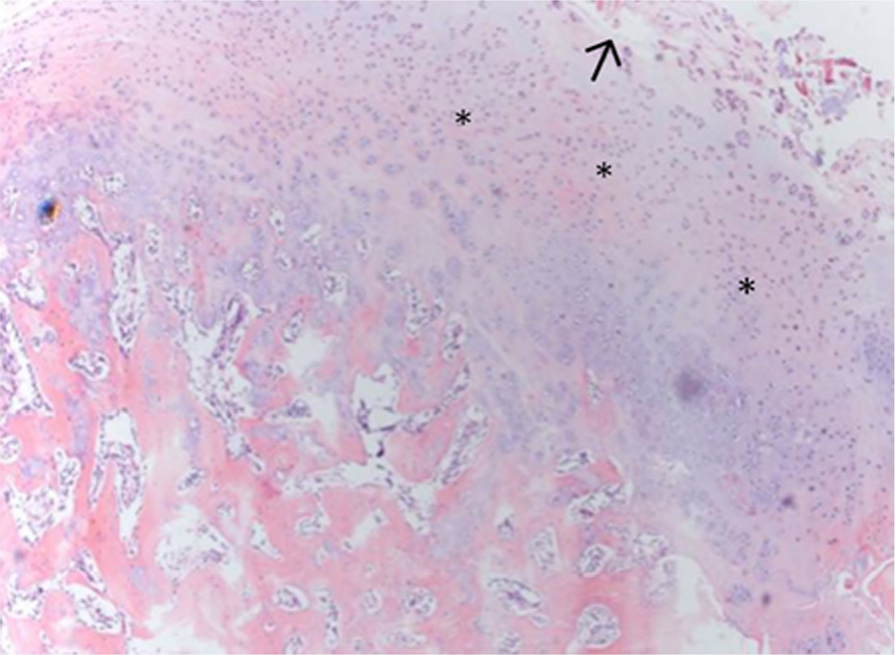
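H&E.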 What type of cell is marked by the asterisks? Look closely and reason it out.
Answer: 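Small rounded cells with dark purple nuclei lie in pale spaces within a smooth lilac-pink matrix.
Chondrocytes.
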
